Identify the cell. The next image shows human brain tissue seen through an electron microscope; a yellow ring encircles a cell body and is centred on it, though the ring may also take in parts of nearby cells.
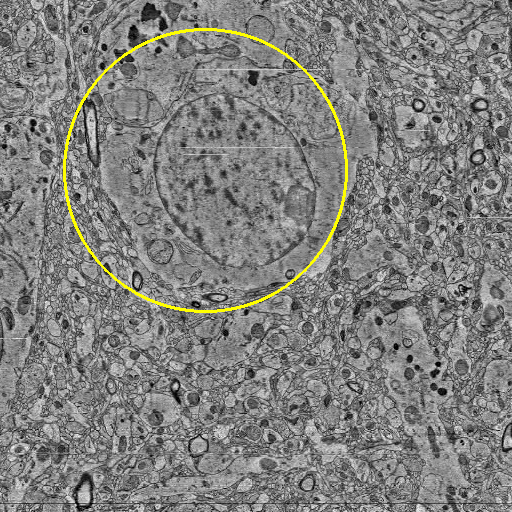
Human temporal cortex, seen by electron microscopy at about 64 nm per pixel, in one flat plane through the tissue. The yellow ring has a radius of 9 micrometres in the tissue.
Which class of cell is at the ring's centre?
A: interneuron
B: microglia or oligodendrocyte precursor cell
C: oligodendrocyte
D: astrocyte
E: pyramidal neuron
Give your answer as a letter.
D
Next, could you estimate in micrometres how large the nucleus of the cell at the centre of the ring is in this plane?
In this plane the nucleus measures roughly 12 by 10 micrometers.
